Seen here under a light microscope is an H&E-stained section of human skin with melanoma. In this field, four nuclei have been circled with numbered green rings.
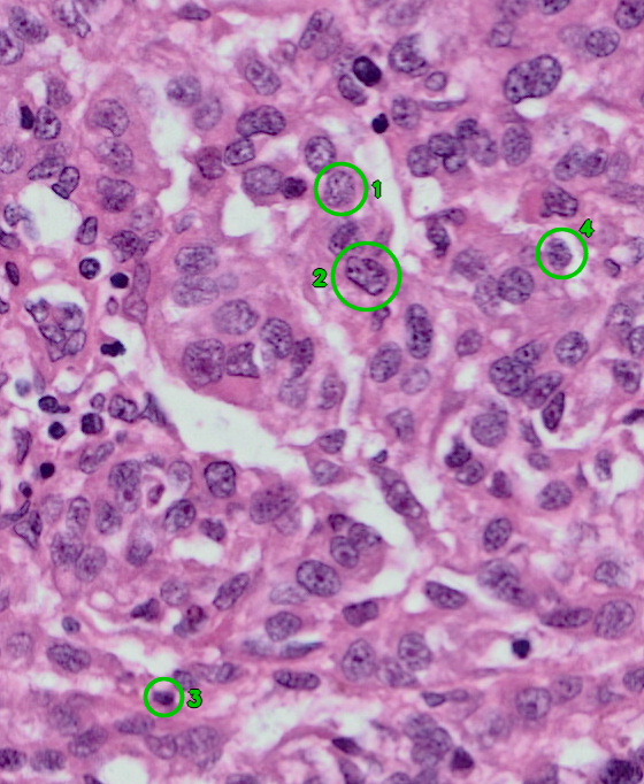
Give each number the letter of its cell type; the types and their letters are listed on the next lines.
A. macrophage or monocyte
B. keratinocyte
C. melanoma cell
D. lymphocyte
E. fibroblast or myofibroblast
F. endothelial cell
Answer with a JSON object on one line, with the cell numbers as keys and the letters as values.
{"1": "C", "2": "C", "3": "D", "4": "C"}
